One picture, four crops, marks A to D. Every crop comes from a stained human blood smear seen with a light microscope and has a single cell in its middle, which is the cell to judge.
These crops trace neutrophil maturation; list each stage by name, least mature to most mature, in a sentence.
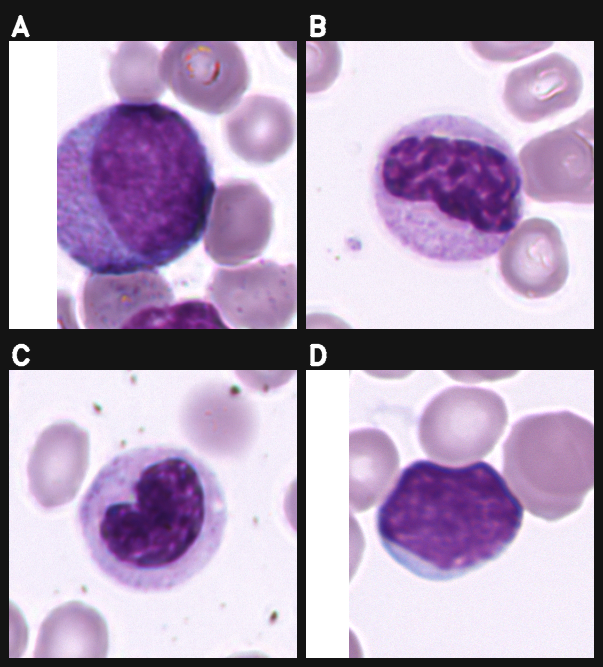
Ordered by maturity, from least to most, the crops are crop D (a myeloblast), crop A (a promyelocyte), crop B (a metamyelocyte) and crop C (a band neutrophil).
